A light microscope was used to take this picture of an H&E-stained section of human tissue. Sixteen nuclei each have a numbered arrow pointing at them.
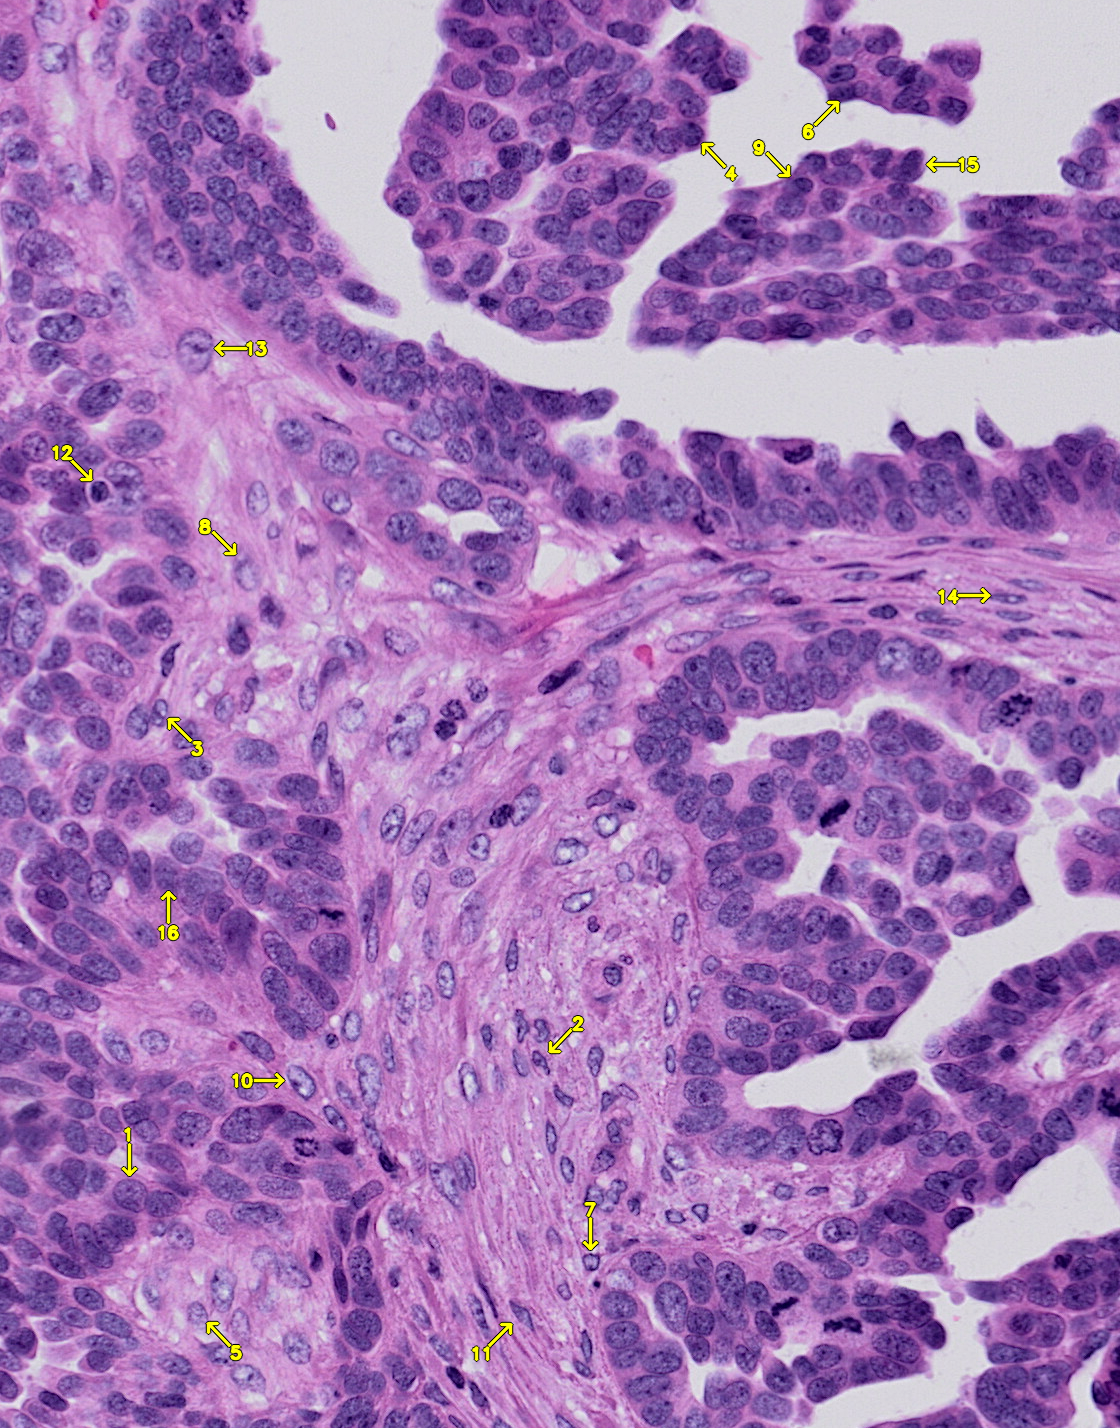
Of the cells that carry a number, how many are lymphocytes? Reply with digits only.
1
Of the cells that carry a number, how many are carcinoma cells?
6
